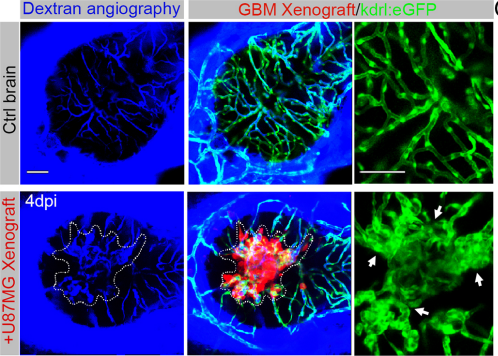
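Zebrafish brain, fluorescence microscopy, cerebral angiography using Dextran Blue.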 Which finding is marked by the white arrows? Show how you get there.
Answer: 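Intensive angiogenesis. The white arrows point at crowded, irregular vessel clusters unlike the evenly spaced vessels of the top row.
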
